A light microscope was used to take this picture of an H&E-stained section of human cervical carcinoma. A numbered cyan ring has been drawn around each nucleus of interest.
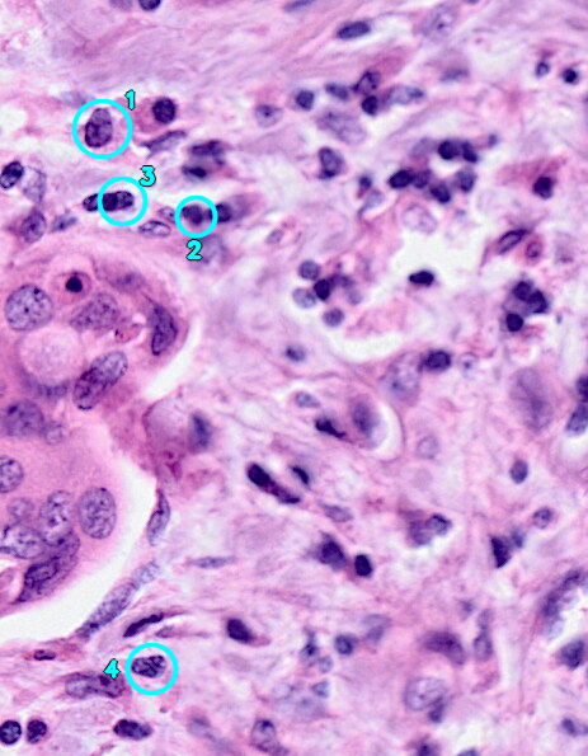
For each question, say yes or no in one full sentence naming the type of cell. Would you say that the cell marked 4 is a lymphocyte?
Yes, the cell corresponding to number 4 is a lymphocyte.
